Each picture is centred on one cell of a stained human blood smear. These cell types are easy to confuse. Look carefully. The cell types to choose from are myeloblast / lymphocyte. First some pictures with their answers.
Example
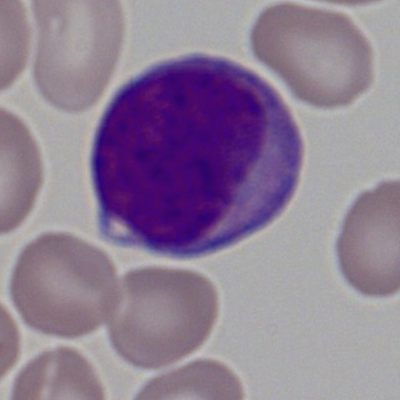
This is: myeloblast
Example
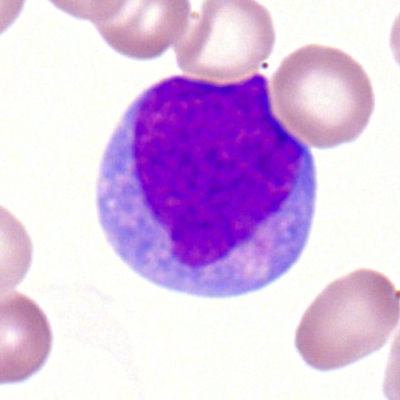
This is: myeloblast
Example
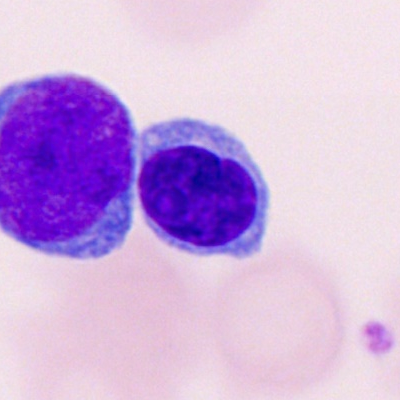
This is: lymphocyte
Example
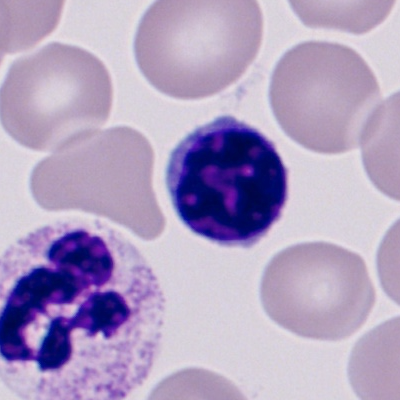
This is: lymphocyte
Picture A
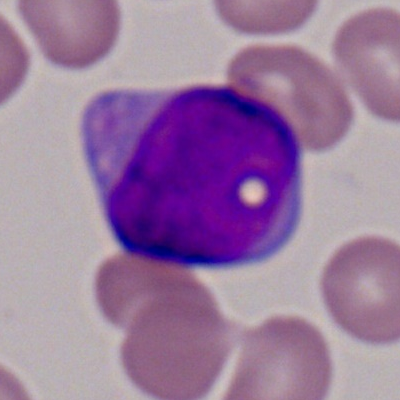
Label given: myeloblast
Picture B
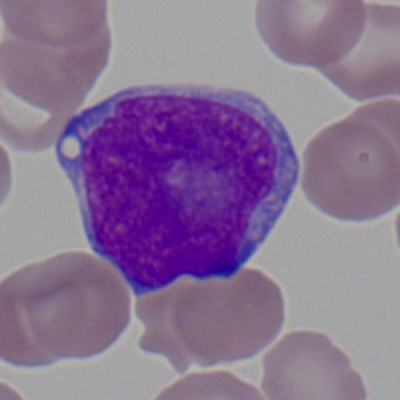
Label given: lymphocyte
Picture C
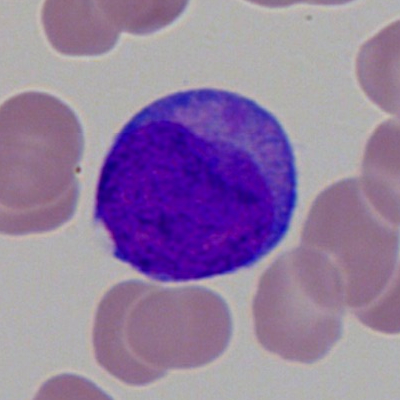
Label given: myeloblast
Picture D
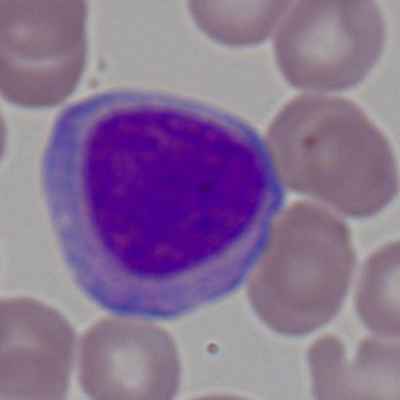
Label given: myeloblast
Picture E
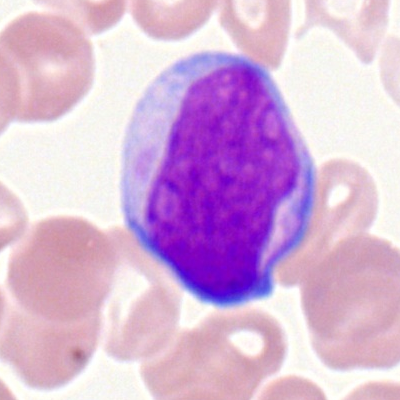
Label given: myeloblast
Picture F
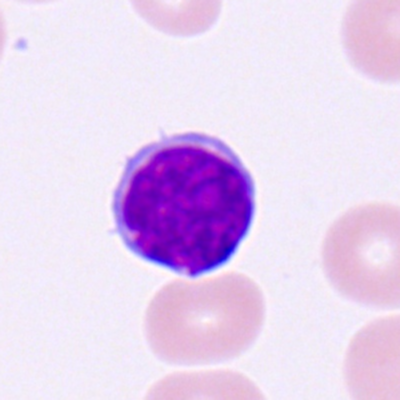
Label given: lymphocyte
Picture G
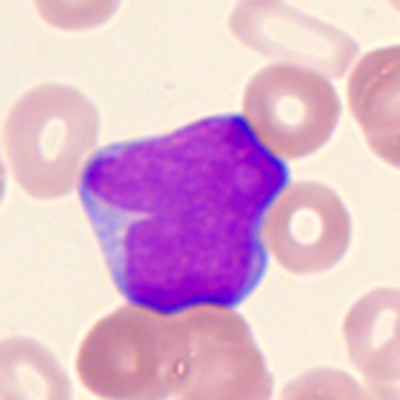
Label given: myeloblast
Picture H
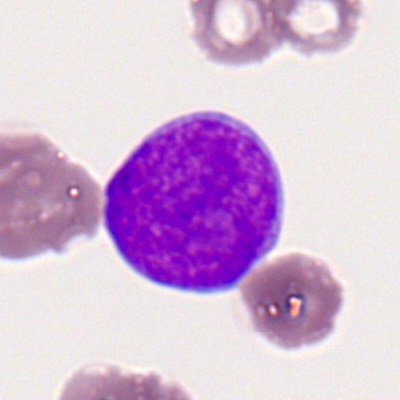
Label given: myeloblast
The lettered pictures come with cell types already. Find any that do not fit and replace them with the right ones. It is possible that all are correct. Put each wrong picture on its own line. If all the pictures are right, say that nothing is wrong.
B: myeloblast, not lymphocyte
